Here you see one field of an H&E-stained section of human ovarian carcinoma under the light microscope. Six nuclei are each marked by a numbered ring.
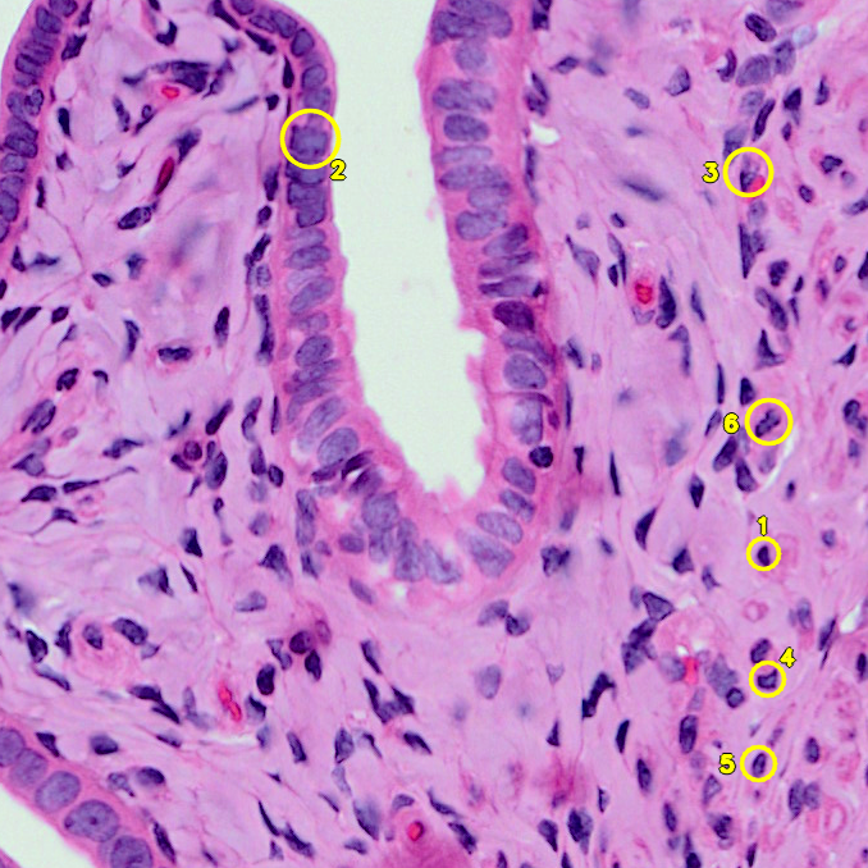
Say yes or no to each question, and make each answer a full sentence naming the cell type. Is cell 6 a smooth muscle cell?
No, cell 6 should be classed as an endothelial cell, not as a smooth muscle cell.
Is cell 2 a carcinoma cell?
Yes, cell number 2 in this section is a carcinoma cell.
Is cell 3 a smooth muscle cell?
No, cell number 3 is an endothelial cell; it is not a smooth muscle cell.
